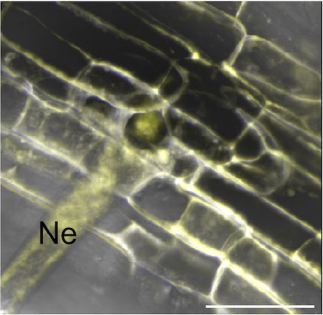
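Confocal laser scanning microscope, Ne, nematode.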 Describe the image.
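Elongated, box-shaped root cells lie in oblique files, each outlined by bright yellow and mostly dark inside. From the lower left a broad, tubular body with a faint yellow granular fill pushes in among them, its rounded tip reaching a cluster of cells near the centre.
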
